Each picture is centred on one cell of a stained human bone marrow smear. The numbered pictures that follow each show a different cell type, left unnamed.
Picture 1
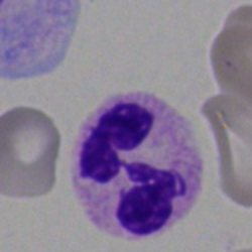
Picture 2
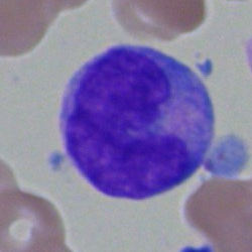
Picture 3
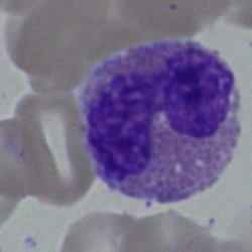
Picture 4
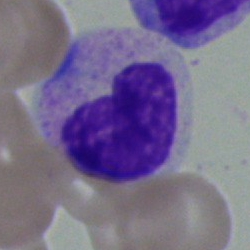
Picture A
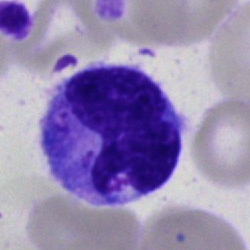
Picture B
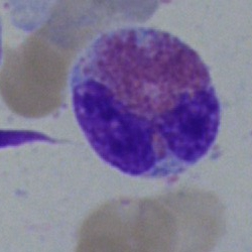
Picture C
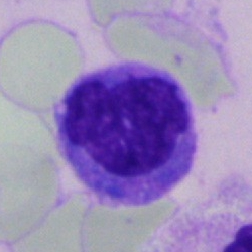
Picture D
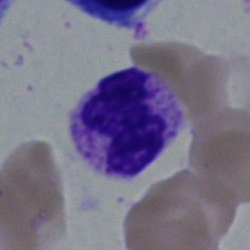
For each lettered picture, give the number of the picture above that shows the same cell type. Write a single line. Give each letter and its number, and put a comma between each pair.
A 2, B 3, C 2, D 1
